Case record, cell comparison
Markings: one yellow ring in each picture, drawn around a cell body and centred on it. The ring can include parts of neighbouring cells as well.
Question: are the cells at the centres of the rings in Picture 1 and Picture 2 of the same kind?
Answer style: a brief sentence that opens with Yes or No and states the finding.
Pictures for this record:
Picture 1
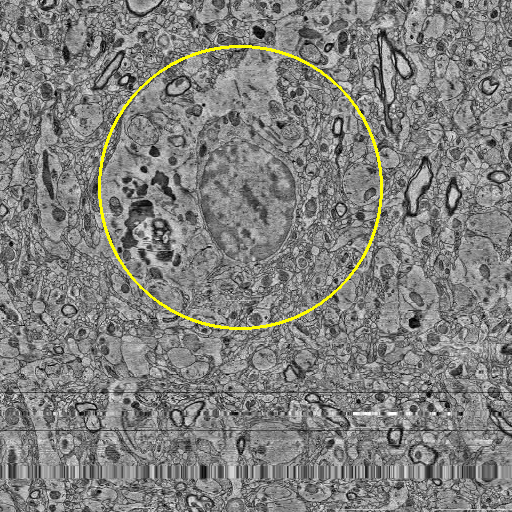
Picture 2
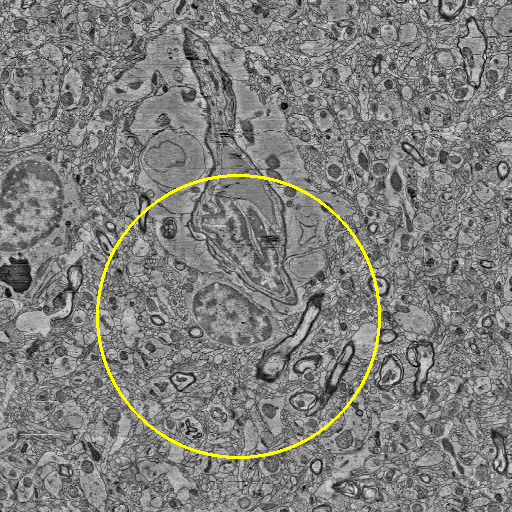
Yes, the cells in Picture 1 and Picture 2 are of the same kind.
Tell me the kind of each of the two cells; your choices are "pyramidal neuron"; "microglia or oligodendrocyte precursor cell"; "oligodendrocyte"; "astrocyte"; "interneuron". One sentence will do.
The ring centre holds an oligodendrocyte in each of the two pictures.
